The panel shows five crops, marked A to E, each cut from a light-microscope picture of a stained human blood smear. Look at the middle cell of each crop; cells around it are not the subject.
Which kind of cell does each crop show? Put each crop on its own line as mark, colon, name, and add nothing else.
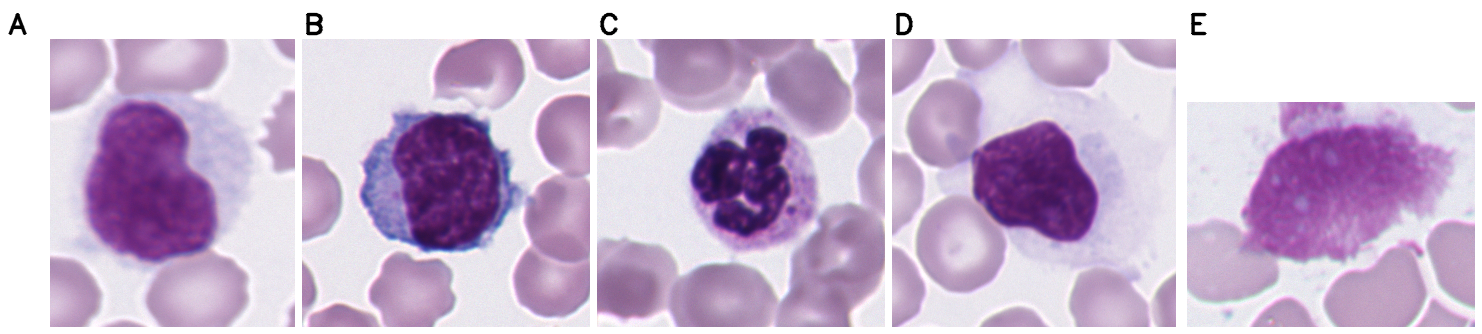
A: hairy cell
B: myeloblast
C: segmented neutrophil
D: hairy cell
E: smudge cell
